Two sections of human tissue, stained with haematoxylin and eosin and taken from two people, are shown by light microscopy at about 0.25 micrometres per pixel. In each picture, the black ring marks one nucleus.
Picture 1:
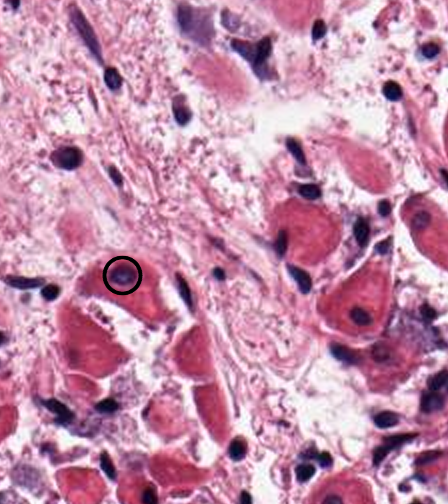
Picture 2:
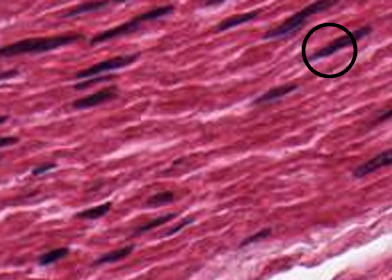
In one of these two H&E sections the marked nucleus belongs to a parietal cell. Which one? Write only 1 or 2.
1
